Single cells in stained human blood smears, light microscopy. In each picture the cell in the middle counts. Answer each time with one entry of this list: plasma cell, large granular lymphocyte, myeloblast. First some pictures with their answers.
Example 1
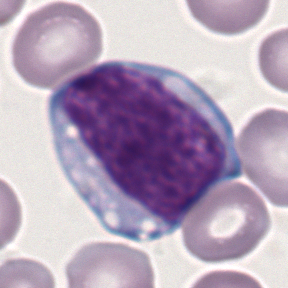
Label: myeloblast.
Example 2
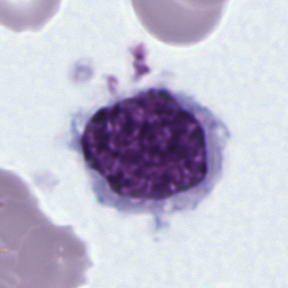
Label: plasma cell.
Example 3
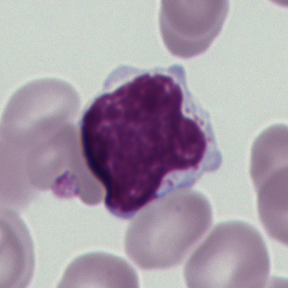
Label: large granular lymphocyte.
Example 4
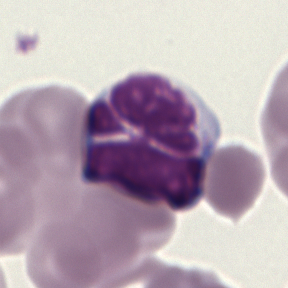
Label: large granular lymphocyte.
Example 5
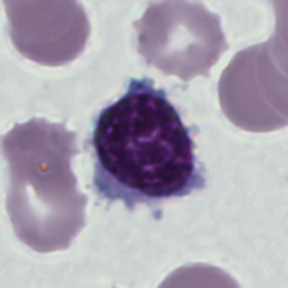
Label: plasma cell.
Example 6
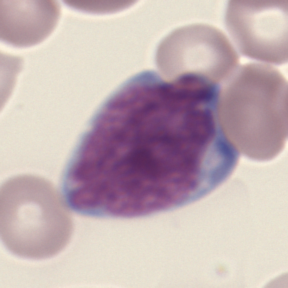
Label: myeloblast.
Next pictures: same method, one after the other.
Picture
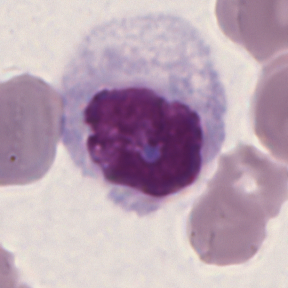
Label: plasma cell.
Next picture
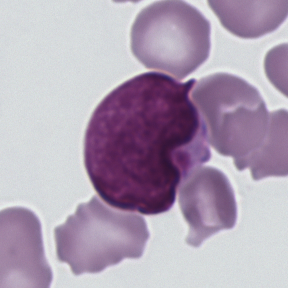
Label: myeloblast.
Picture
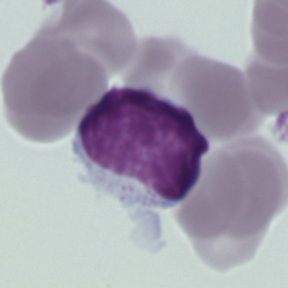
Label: large granular lymphocyte.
